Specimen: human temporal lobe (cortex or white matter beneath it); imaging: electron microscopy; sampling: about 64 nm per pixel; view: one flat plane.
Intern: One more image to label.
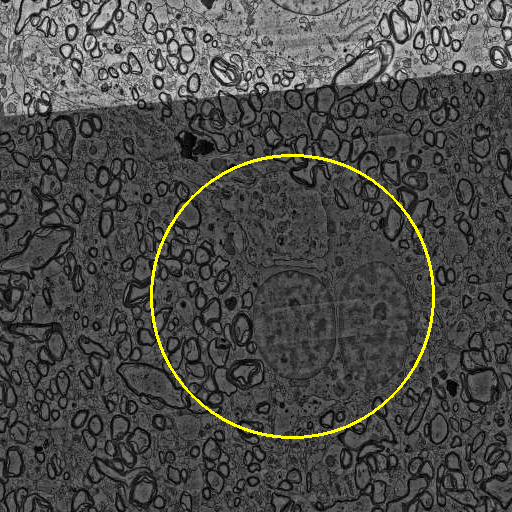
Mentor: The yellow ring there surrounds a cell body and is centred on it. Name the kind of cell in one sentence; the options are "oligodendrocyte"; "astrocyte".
The ring marks the cell body of an oligodendrocyte.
